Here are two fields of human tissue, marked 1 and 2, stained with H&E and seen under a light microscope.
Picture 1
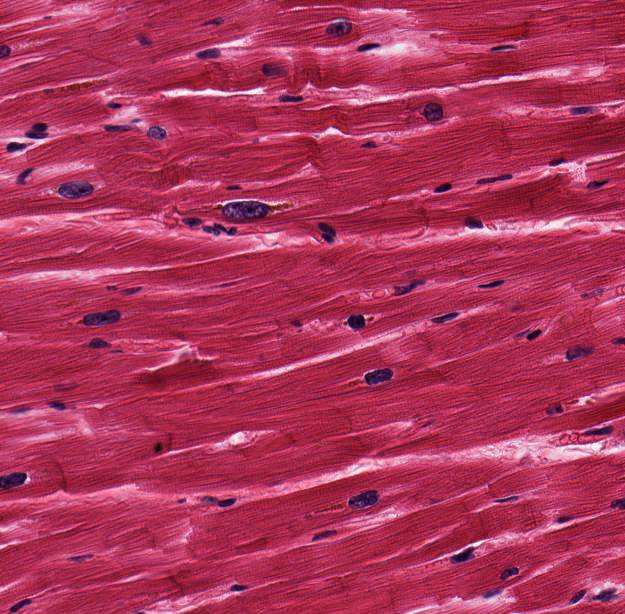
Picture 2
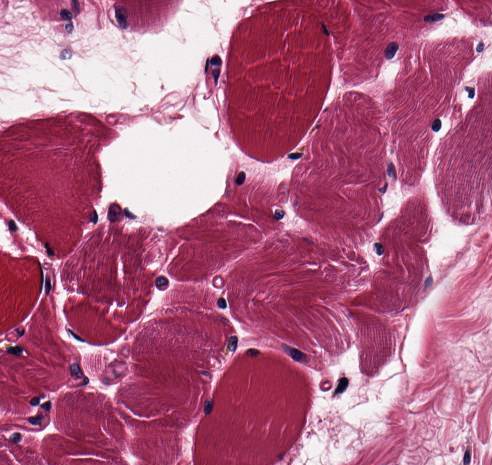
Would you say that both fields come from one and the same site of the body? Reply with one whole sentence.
No, picture 1 comes from the left ventricle of the heart and picture 2 comes from skeletal muscle.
